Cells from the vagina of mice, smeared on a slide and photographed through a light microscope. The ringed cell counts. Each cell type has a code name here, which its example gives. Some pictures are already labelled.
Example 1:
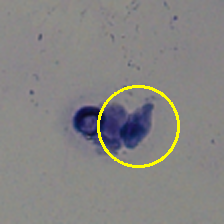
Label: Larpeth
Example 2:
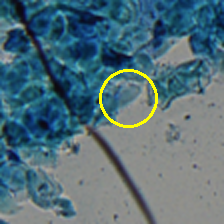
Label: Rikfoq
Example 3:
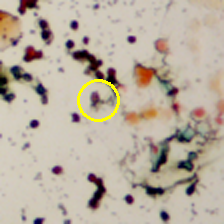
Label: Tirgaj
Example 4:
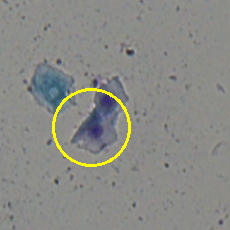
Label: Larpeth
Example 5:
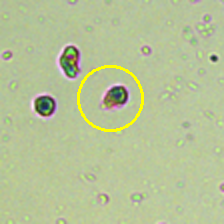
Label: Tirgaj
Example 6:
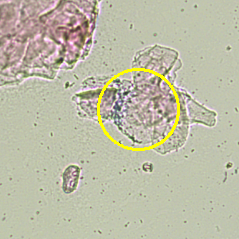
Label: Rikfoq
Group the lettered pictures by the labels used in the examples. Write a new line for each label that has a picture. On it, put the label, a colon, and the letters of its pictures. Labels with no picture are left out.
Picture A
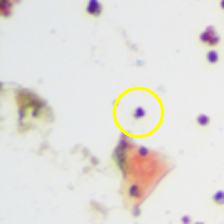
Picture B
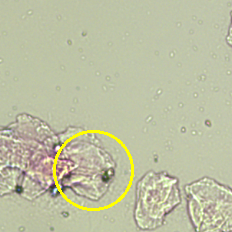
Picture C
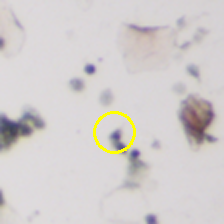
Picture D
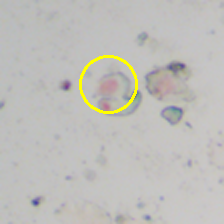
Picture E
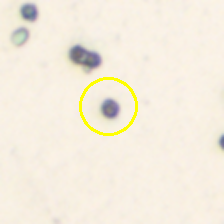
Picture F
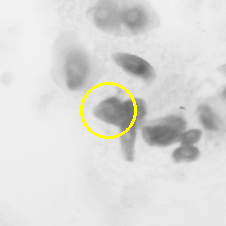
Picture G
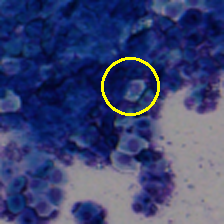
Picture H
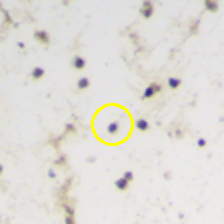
Larpeth: D, F, G
Rikfoq: B
Tirgaj: A, C, E, H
